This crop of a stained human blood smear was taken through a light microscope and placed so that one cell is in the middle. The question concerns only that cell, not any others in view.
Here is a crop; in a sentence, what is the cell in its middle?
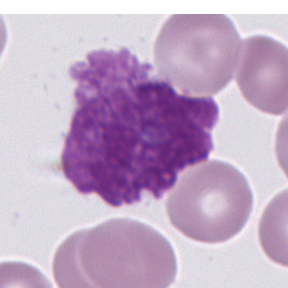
As for the central cell, it is a smudge cell.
